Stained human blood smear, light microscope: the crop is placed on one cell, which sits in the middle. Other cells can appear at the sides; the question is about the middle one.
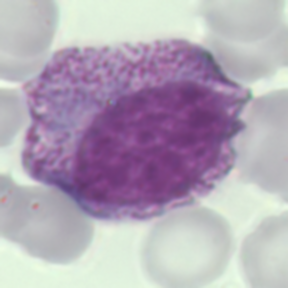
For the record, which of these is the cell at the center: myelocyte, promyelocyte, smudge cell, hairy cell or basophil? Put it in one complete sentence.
The middle of this crop is occupied by a promyelocyte.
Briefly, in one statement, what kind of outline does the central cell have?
The outline of this cell is not smooth but ragged or drawn out into projections.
